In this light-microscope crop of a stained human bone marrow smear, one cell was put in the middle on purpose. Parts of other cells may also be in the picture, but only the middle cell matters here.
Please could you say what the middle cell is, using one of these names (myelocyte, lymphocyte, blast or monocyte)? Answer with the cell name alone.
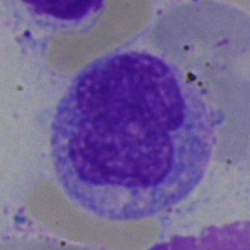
monocyte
